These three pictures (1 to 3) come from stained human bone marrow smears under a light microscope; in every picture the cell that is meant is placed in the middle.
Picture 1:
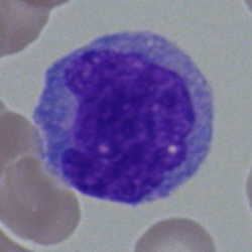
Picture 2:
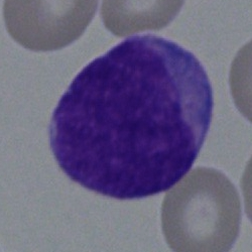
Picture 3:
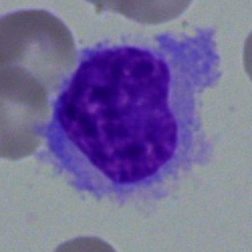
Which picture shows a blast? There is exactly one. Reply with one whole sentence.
It is picture 2 that shows the blast.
